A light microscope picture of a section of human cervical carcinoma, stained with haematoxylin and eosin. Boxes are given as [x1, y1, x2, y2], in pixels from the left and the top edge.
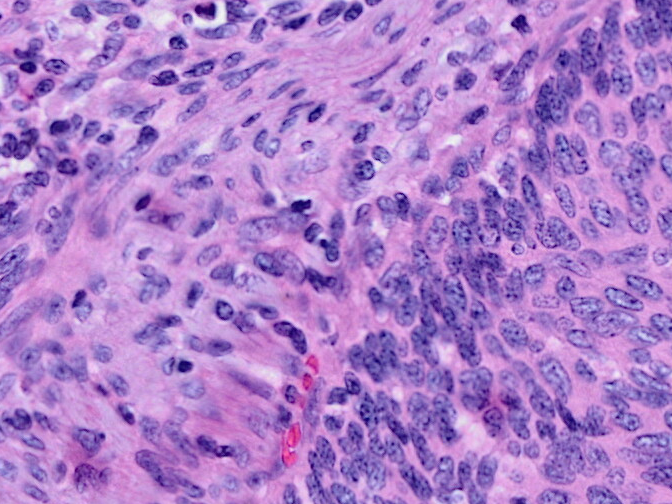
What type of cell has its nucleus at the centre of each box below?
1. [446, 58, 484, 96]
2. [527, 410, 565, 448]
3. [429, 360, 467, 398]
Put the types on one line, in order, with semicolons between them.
lymphocyte; squamous carcinoma cell; squamous carcinoma cell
